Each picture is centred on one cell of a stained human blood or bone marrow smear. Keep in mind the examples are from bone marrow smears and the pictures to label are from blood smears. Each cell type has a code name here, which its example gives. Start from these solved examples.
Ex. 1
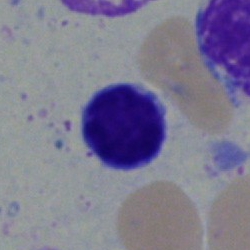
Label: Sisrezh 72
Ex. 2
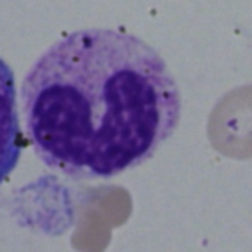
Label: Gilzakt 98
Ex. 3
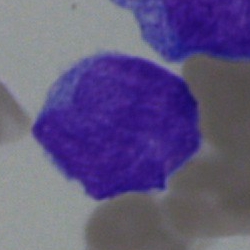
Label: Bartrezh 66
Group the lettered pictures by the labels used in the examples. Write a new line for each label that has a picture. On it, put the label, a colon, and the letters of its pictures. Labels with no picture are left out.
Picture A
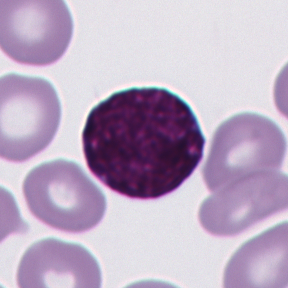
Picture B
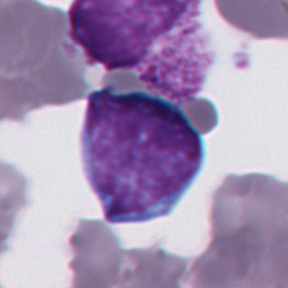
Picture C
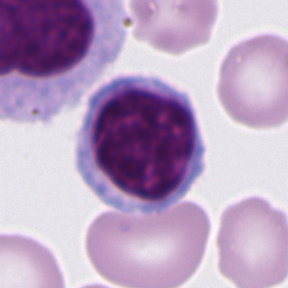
Sisrezh 72: B, C
Bartrezh 66: A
